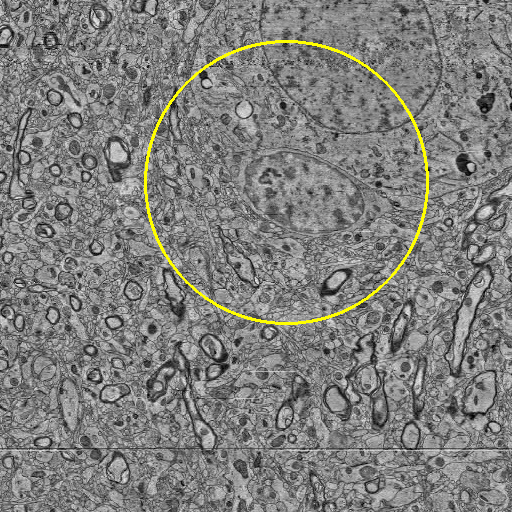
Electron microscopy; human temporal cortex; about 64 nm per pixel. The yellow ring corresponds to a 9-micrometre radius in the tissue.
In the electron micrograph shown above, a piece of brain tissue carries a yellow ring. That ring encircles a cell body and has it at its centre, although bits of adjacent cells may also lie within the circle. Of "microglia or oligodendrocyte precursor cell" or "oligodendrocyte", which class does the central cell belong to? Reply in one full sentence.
The cell body at the centre of the yellow ring belongs to an oligodendrocyte.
